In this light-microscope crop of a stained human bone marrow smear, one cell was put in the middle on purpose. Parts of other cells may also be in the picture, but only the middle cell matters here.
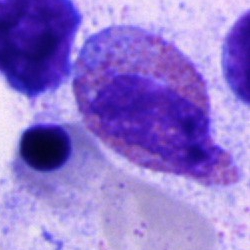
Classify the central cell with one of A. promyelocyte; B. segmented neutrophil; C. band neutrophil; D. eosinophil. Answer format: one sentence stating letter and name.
Option D is the correct option, with the middle cell being an eosinophil.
